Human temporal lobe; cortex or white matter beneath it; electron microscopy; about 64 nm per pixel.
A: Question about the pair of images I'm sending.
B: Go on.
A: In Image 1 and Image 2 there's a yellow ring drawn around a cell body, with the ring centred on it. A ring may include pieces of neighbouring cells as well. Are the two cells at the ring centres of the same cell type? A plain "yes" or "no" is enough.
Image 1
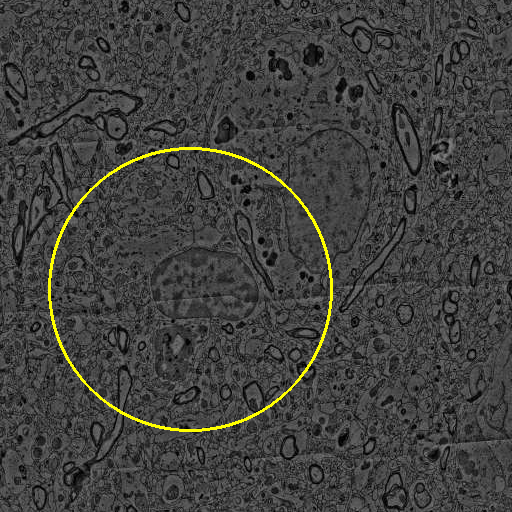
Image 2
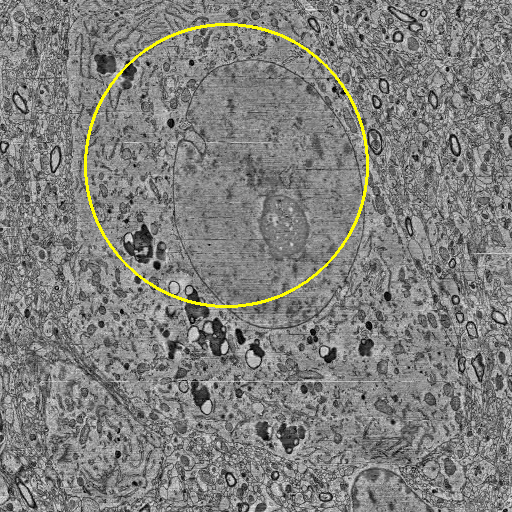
no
